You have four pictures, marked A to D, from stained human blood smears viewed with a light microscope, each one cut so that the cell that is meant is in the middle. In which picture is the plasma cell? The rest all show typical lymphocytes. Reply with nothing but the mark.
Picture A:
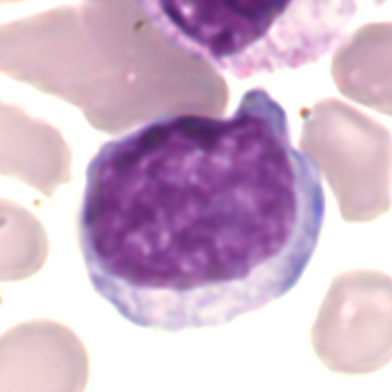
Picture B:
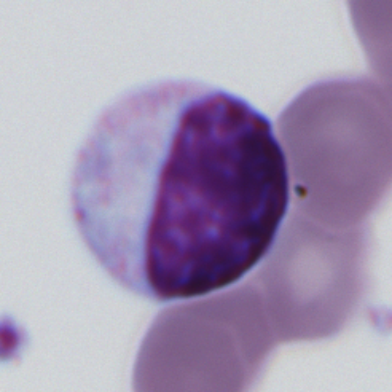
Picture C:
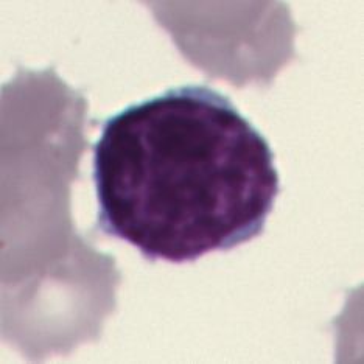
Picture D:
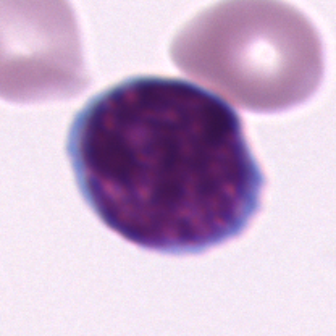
A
